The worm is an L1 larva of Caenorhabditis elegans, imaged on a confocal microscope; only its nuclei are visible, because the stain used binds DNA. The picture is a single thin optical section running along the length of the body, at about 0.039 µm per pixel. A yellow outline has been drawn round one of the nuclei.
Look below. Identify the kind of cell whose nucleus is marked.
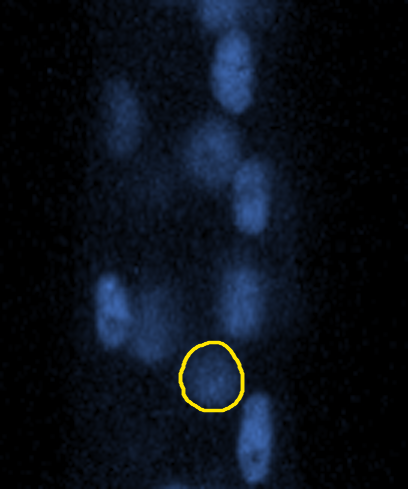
seam cell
